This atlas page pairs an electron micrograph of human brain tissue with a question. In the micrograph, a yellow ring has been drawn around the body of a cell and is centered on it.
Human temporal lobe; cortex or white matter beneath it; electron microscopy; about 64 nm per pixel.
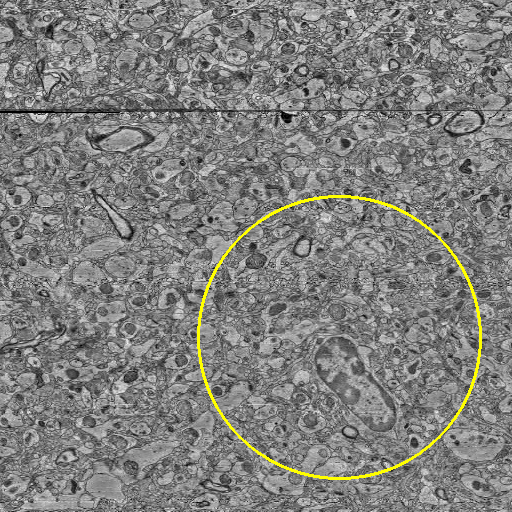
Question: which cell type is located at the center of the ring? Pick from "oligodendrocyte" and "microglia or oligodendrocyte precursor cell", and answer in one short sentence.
Located at the center of the ring is a microglial cell or oligodendrocyte precursor cell.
